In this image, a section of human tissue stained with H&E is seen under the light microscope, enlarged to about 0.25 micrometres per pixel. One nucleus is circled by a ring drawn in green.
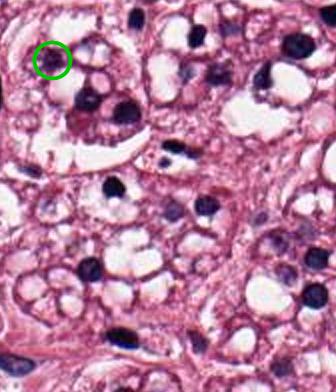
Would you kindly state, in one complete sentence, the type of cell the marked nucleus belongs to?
In the section shown, the marked nucleus belongs to an adrenal cortical cell.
